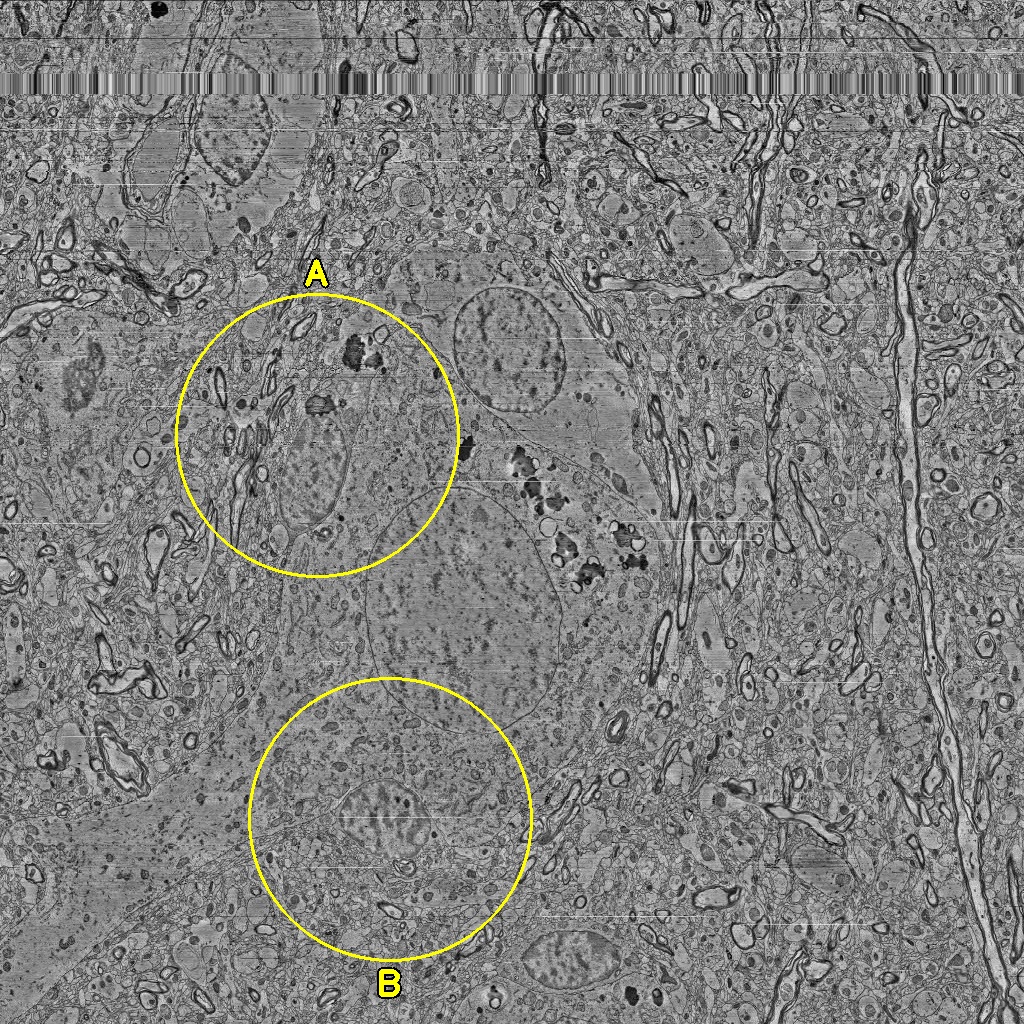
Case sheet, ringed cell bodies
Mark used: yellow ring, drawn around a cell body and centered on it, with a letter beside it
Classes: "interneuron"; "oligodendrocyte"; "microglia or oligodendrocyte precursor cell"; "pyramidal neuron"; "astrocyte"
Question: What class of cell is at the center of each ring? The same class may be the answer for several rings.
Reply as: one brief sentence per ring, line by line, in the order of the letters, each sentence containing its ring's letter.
Ring A has an oligodendrocyte at its center.
Ring B has an oligodendrocyte at its center.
